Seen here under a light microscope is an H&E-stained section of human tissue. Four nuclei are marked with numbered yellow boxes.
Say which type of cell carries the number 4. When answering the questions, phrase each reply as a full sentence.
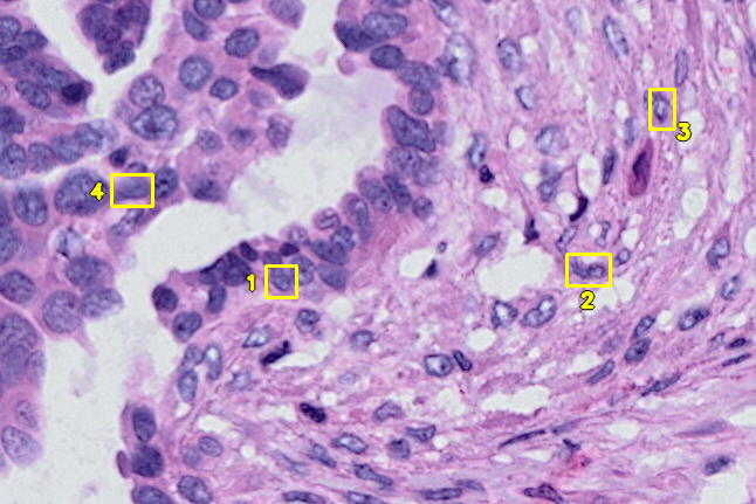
Cell 4 in the field of view is a carcinoma cell.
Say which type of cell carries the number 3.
The cell identified by number 3 is a fibroblast.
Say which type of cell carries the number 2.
The cell bearing label 2 corresponds to a fibroblast.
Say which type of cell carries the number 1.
Looking at the numbered marks, cell 1 is a carcinoma cell.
